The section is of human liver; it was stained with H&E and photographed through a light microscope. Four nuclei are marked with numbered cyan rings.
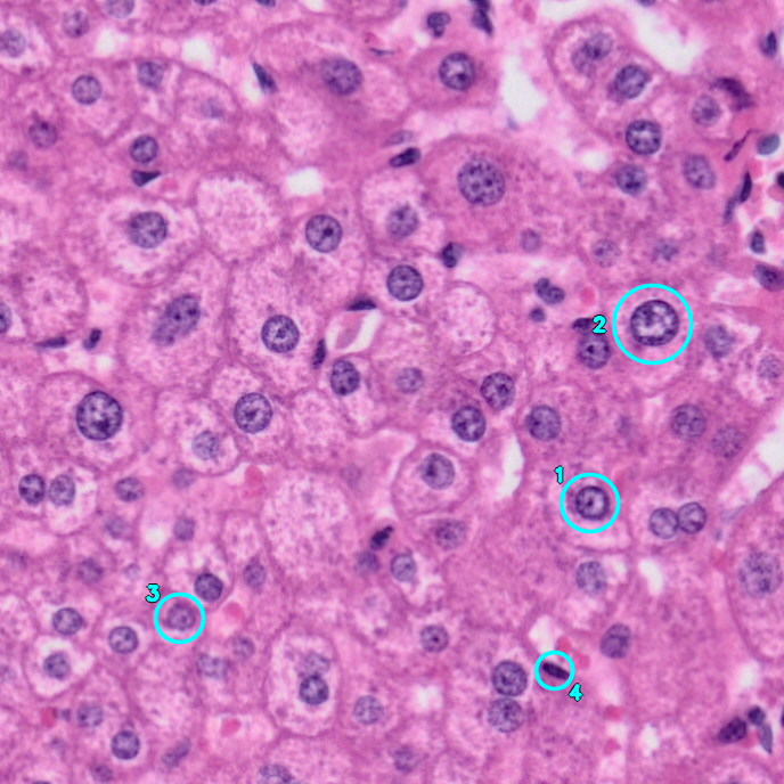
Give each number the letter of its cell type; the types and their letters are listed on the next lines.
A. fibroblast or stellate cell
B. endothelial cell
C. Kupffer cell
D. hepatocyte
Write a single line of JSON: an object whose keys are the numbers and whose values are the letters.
{"1": "D", "2": "D", "3": "D", "4": "A"}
